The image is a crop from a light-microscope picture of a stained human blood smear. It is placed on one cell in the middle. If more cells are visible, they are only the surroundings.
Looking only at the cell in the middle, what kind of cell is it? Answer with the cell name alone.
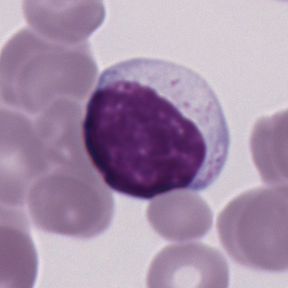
large granular lymphocyte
